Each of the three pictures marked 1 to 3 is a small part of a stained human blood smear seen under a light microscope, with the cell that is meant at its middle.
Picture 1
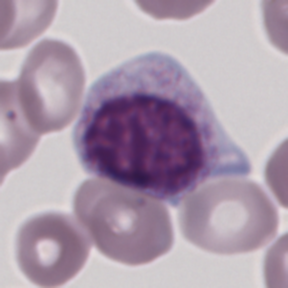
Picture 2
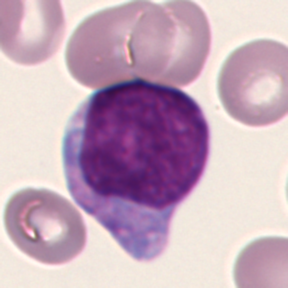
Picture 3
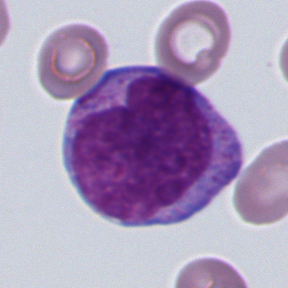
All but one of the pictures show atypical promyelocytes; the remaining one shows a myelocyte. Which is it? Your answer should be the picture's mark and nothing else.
1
